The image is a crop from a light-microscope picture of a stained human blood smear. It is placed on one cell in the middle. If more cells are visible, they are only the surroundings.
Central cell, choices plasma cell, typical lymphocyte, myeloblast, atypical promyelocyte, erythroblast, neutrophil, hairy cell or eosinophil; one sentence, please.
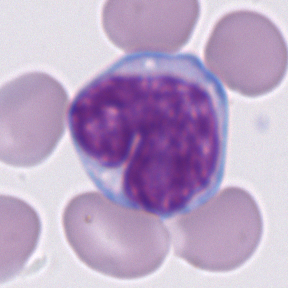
Of the cells in this crop, the central one is a myeloblast.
